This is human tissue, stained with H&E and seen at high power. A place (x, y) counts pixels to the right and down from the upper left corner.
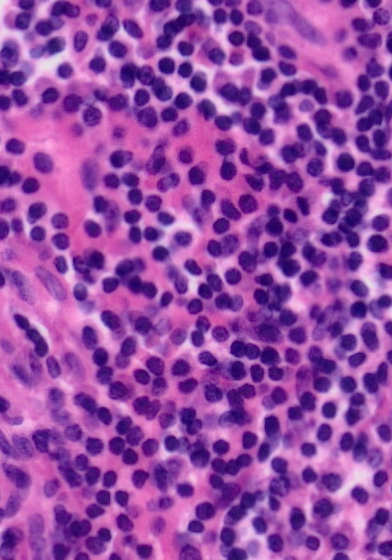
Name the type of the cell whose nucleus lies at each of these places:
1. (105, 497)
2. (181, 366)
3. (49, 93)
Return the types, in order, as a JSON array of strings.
["small lymphocyte", "plasma cell", "plasma cell"]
